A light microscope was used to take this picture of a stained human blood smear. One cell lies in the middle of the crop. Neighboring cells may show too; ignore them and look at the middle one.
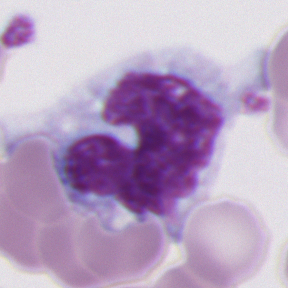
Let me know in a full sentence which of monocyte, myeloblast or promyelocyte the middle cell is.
This crop is built around a monocyte at its centre.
